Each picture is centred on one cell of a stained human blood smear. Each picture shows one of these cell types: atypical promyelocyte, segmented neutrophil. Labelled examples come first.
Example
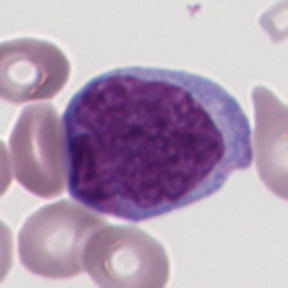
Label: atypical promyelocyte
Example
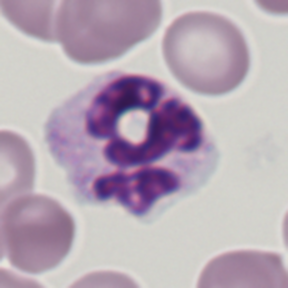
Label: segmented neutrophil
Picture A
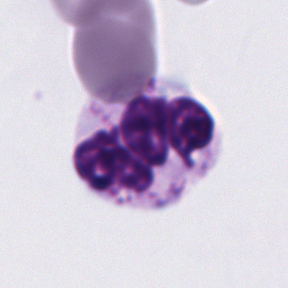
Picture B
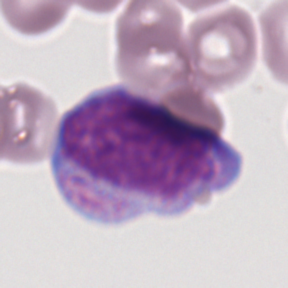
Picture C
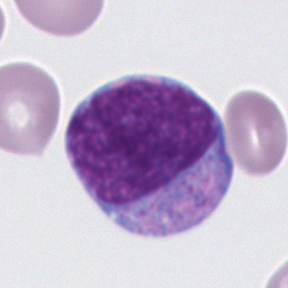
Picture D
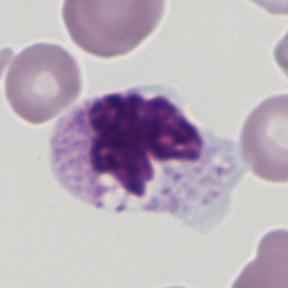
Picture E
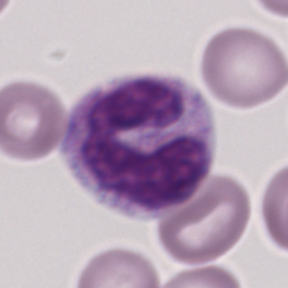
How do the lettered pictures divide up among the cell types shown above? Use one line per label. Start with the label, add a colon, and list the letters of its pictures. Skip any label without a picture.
atypical promyelocyte: B, C
segmented neutrophil: A, D, E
